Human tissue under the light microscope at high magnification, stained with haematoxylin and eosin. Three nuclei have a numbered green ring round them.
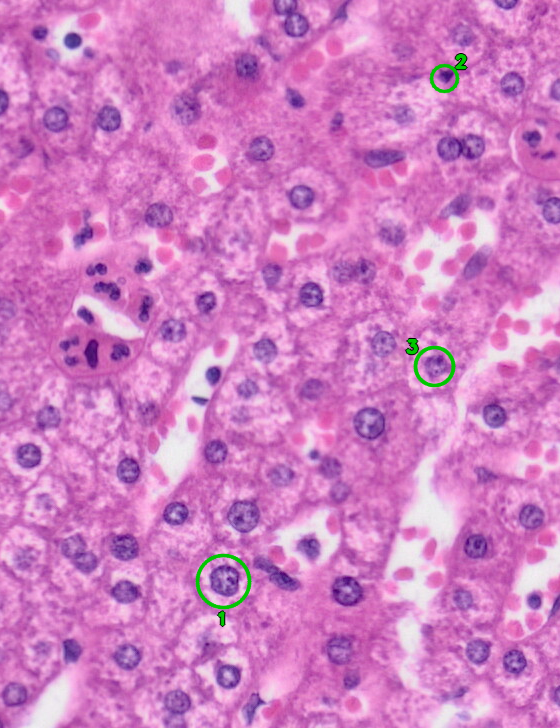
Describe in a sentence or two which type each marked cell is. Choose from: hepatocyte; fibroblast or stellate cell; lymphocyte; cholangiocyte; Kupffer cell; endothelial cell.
Cell 1 is a hepatocyte, cell 2 is a fibroblast or stellate cell and cell 3 is a hepatocyte.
